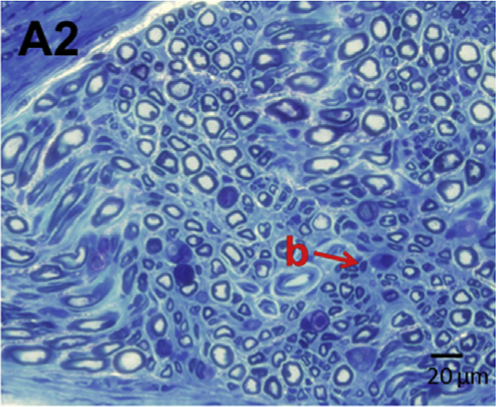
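Cross section of nerve with disordered myelinated fibres. Blue-ringed fibres vary widely in size and are spaced apart in pale blue intervening tissue, many with thin rings or irregular, collapsed outlines. Scattered dark, densely stained clumps without a pale centre suggest breaking-down myelin. Groups of small fibres with thin rings lie among larger ones.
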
